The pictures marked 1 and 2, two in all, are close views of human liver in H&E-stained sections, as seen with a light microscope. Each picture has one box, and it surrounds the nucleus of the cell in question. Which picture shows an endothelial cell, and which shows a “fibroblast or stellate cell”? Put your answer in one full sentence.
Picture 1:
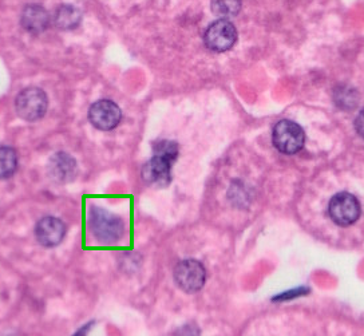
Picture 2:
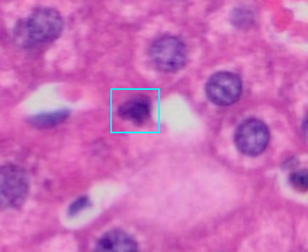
It is picture 1 that shows an endothelial cell, and picture 2 that shows a “fibroblast or stellate cell”.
